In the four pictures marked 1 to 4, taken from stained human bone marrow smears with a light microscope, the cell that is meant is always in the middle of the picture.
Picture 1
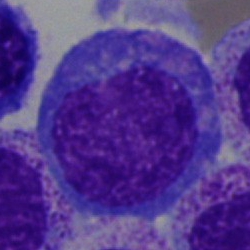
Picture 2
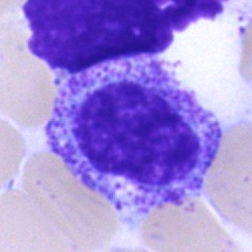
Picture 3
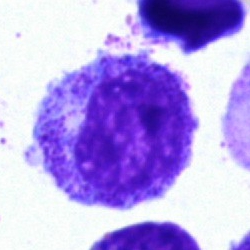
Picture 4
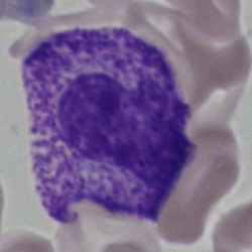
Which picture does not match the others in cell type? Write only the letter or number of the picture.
1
